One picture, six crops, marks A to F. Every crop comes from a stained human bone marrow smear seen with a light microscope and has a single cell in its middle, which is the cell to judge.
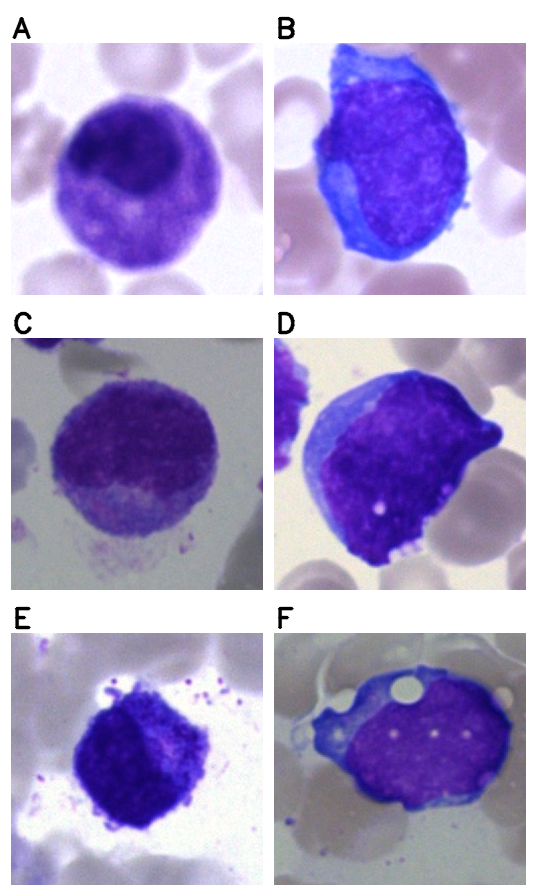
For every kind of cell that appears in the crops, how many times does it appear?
promyelocyte: 3
blast: 3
